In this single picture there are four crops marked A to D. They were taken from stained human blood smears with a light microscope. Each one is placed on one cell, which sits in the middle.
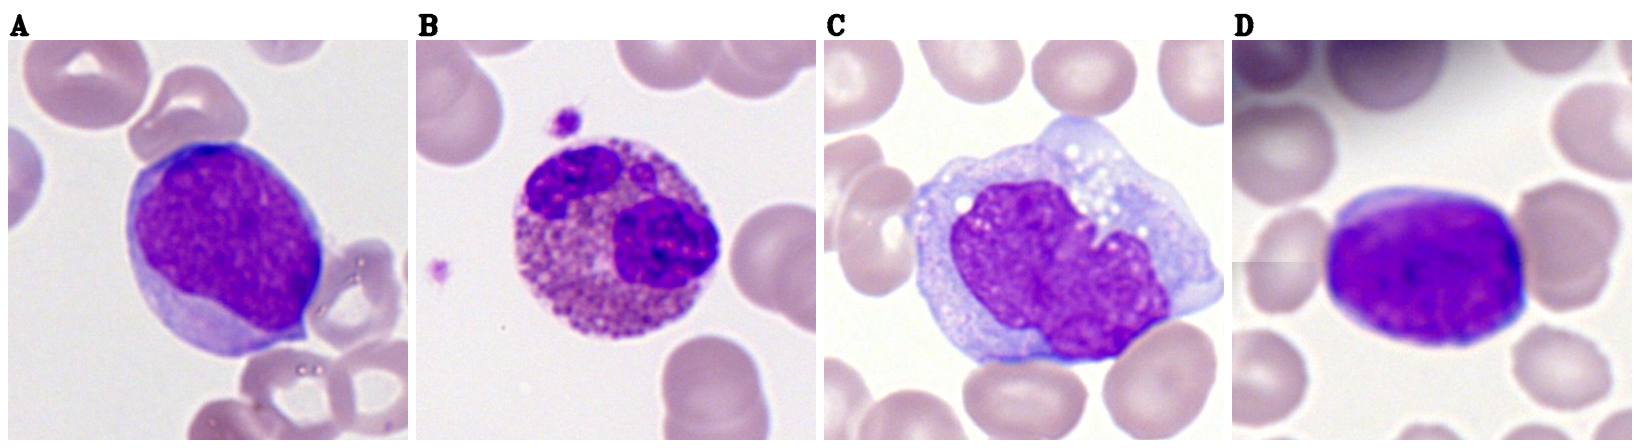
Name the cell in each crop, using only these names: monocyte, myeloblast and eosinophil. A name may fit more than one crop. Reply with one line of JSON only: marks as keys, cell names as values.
{"A": "myeloblast", "B": "eosinophil", "C": "monocyte", "D": "myeloblast"}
